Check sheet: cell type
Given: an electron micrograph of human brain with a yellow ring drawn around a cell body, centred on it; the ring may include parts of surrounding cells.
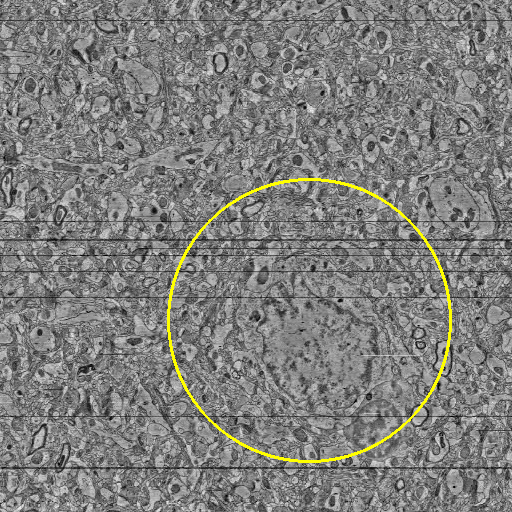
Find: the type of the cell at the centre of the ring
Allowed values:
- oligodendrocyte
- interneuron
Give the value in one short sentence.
Here the ringed cell is an interneuron.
